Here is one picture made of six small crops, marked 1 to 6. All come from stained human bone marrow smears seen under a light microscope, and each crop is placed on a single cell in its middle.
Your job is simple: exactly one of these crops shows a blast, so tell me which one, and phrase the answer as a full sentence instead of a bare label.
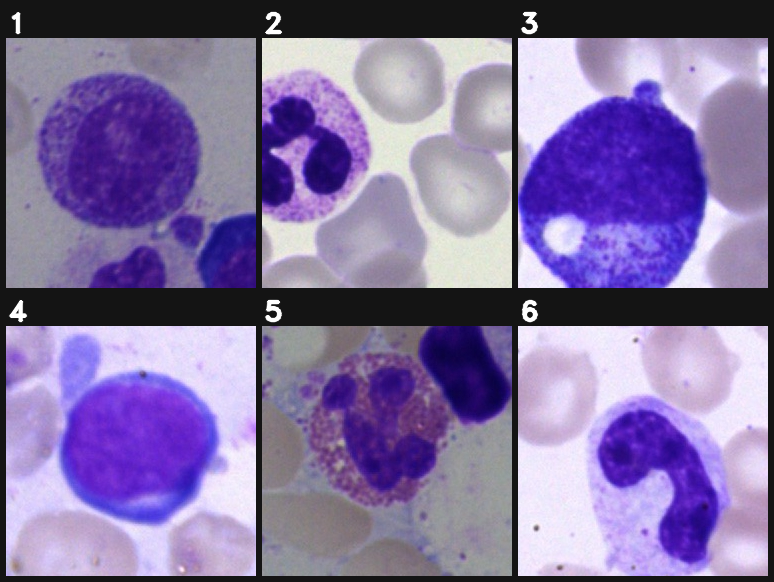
Crop 4 alone, of all the crops, shows a blast.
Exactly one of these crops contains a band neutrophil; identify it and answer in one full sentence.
Among these crops, crop 6 holds a band neutrophil.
